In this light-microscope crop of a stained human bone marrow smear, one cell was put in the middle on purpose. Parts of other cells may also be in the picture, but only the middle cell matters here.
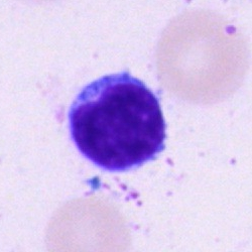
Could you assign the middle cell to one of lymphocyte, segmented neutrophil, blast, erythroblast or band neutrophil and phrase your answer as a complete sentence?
In this crop, the cell at the very middle is a lymphocyte.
